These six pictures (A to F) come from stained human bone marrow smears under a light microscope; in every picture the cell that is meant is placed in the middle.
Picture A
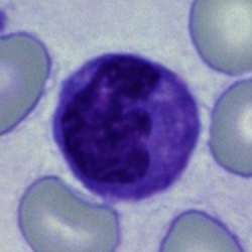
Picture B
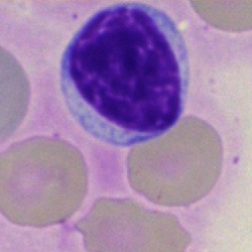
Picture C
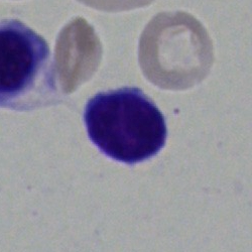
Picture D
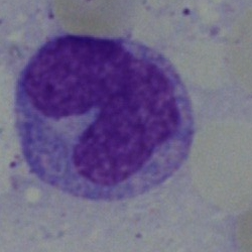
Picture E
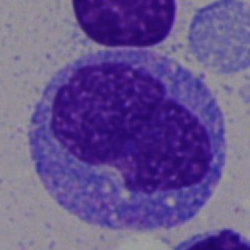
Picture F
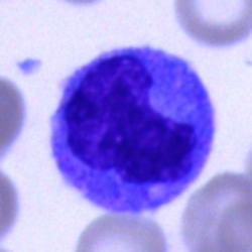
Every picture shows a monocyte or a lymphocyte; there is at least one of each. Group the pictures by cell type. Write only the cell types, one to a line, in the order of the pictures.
monocyte
lymphocyte
lymphocyte
monocyte
monocyte
monocyte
